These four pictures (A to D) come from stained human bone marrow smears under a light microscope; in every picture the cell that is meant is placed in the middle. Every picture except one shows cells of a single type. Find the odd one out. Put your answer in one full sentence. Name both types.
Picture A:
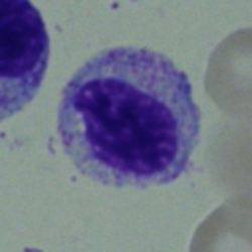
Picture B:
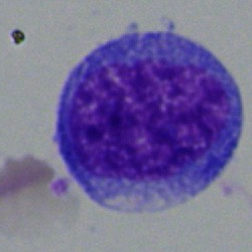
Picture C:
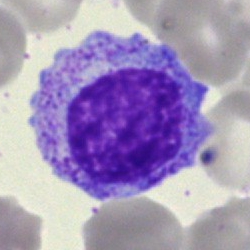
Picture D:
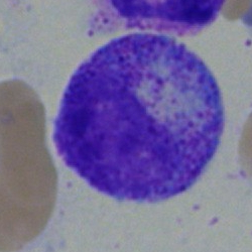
All pictures except B show myelocytes; picture B shows a blast.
